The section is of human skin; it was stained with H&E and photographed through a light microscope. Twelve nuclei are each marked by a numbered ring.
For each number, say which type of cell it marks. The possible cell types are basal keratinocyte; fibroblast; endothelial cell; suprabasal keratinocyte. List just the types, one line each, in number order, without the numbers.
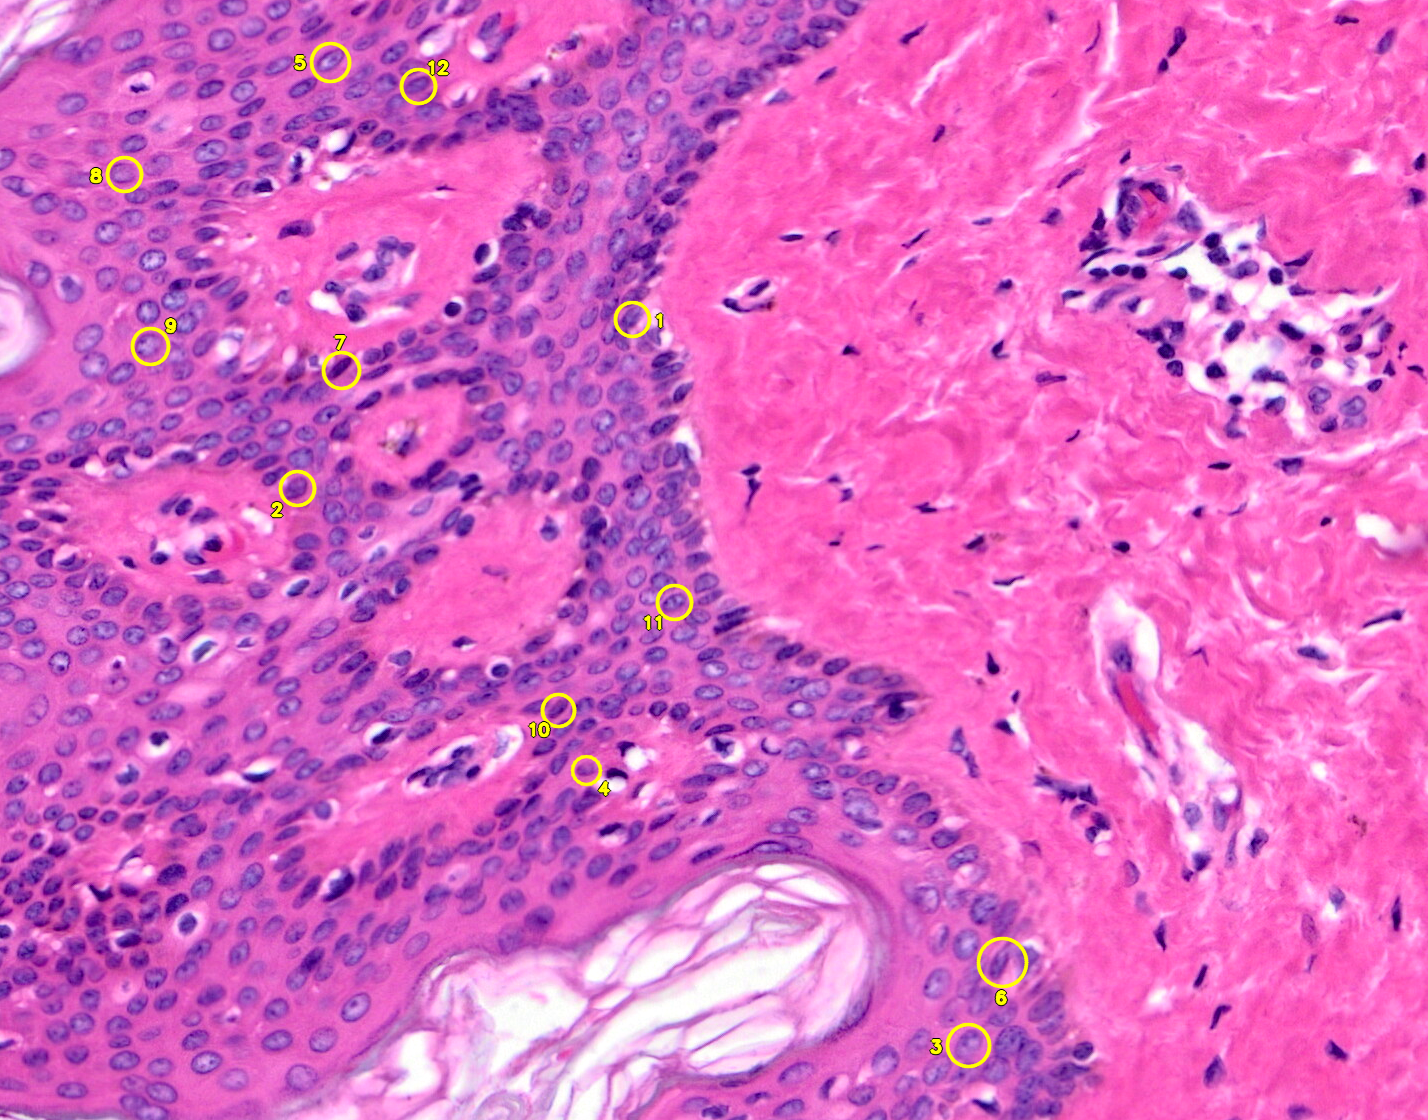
basal keratinocyte
basal keratinocyte
suprabasal keratinocyte
basal keratinocyte
suprabasal keratinocyte
basal keratinocyte
basal keratinocyte
suprabasal keratinocyte
suprabasal keratinocyte
basal keratinocyte
suprabasal keratinocyte
basal keratinocyte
